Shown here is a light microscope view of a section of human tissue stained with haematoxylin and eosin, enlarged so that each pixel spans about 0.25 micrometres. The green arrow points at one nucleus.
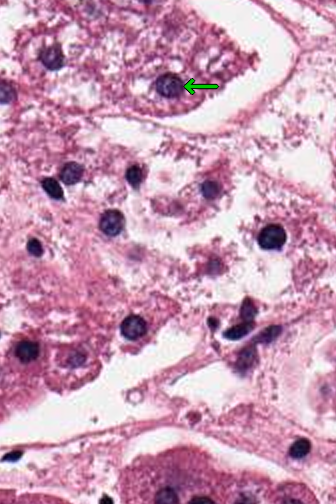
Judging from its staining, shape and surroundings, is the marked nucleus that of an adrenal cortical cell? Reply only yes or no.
yes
